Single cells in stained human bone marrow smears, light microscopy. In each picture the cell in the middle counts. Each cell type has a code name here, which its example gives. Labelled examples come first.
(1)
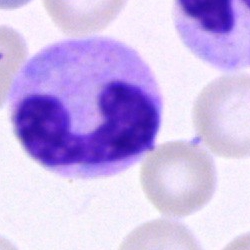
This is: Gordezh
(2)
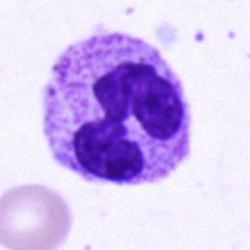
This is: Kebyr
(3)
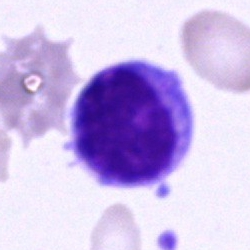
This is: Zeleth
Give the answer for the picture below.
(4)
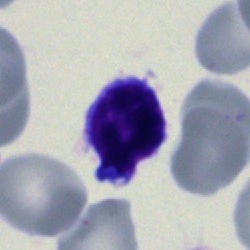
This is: Zeleth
